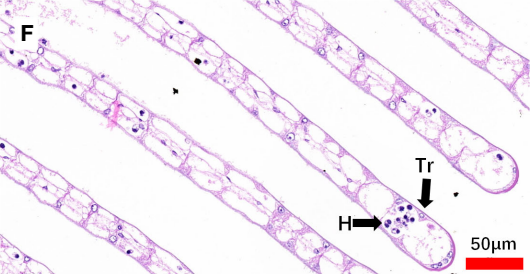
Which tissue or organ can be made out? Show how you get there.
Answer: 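Gill. Parallel thin plates ending in rounded blind tips. Plates are subdivided internally into small compartments by cross-spanning cells.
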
